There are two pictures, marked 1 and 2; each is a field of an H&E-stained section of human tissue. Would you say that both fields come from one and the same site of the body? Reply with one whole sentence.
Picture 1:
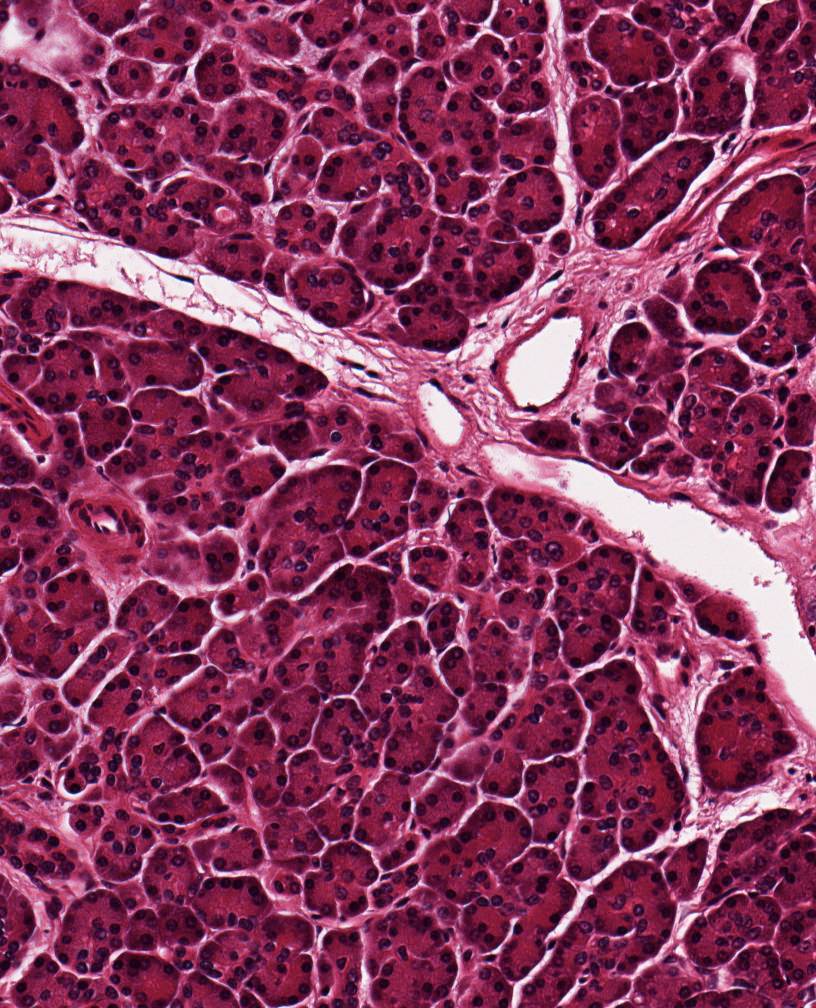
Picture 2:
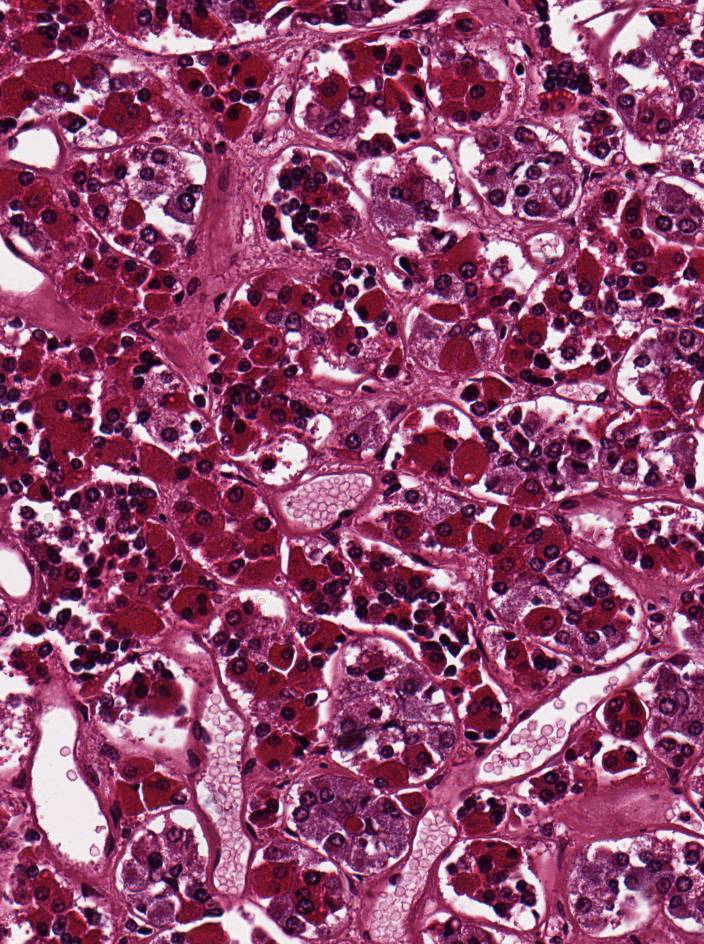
No. Picture 1 comes from the pancreas, whereas picture 2 comes from the pituitary.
